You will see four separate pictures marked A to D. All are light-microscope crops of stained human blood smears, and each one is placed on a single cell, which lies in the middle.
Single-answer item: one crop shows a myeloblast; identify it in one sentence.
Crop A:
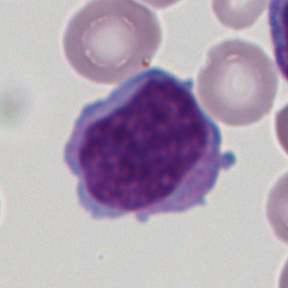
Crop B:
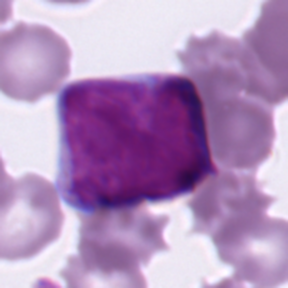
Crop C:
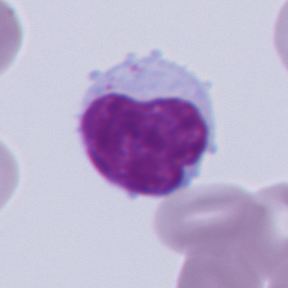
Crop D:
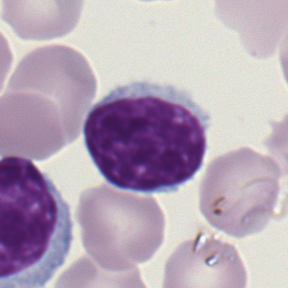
Within this set, crop B is the one with a myeloblast at its center.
